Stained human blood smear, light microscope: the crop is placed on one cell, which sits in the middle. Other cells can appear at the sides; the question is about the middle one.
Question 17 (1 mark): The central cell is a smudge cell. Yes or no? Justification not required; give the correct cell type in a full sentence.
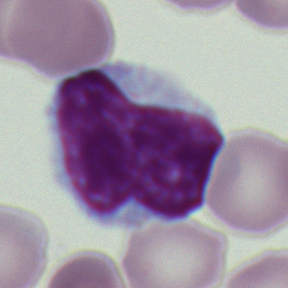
No, the middle one is a typical lymphocyte rather than a smudge cell.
